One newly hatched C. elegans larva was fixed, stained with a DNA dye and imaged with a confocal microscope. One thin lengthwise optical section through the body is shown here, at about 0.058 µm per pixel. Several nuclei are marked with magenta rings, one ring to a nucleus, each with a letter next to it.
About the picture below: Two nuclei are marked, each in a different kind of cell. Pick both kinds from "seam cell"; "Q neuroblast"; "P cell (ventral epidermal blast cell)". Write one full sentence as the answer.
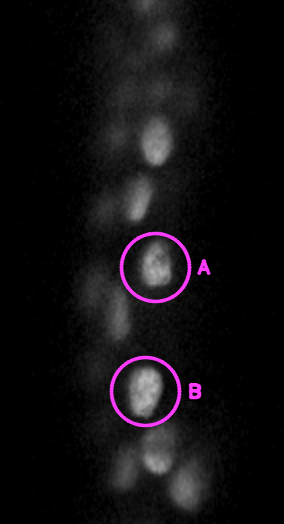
A is in a seam cell and B is in a P cell (ventral epidermal blast cell).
